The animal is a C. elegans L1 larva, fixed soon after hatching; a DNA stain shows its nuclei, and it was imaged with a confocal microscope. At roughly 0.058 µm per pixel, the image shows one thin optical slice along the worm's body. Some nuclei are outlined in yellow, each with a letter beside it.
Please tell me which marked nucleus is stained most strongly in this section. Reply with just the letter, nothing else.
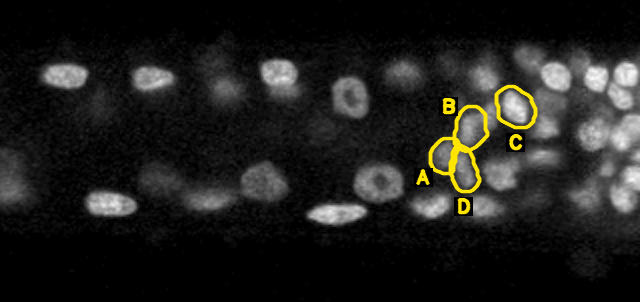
C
